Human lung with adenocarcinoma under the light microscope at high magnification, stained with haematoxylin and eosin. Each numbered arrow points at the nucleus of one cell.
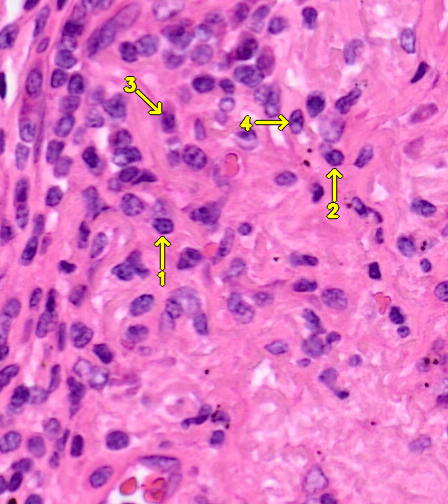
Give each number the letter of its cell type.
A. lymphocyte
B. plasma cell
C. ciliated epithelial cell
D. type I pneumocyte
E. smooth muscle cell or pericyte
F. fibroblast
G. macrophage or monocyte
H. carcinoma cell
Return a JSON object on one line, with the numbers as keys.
{"1": "A", "2": "A", "3": "B", "4": "A"}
